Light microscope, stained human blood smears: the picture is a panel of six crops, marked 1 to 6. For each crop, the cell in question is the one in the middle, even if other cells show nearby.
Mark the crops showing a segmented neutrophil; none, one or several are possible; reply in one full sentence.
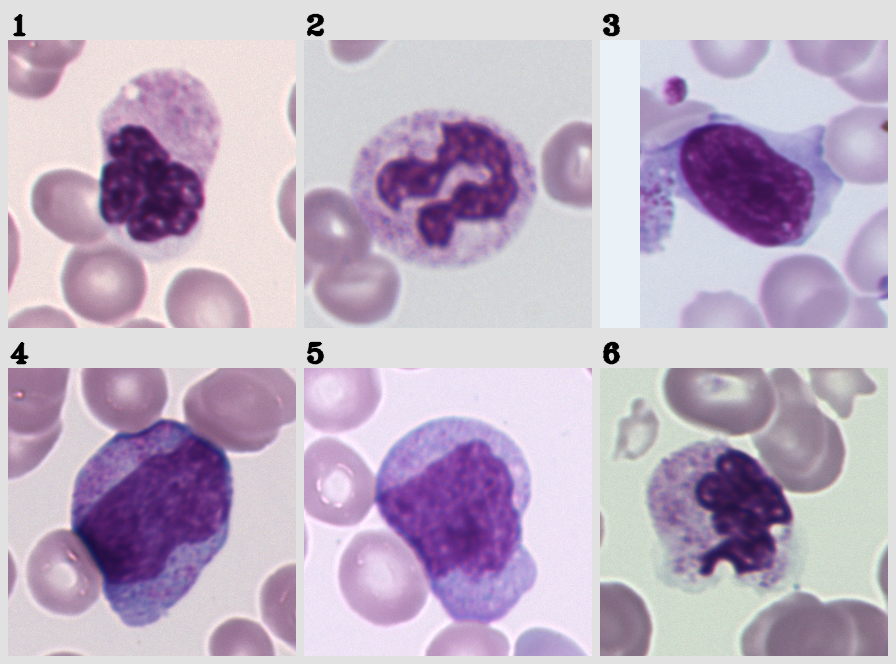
In this series, segmented neutrophils are shown by crops 1, 2 and 6.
